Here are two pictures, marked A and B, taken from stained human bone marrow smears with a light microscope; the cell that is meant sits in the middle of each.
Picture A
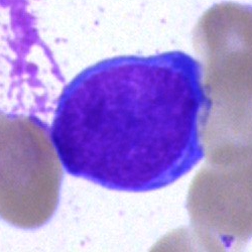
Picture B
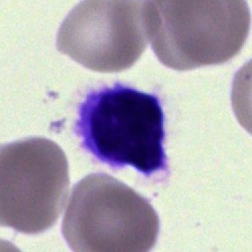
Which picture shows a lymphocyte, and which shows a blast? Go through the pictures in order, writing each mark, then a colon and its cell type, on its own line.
A: blast
B: lymphocyte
